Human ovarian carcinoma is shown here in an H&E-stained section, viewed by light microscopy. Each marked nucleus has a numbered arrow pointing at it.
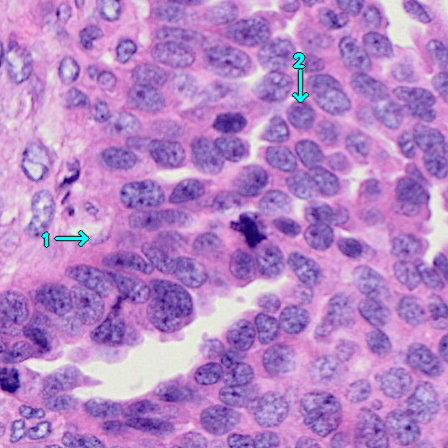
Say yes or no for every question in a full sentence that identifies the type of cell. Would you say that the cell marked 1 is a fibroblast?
Yes, the cell labelled with number 1 is a fibroblast.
